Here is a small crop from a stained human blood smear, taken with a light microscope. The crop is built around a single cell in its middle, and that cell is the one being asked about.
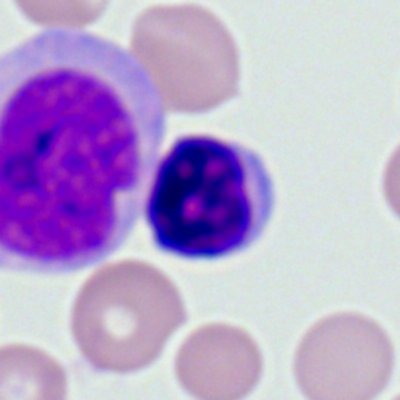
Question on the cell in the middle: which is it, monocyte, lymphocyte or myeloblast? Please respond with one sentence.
Framed in the middle of the crop is a lymphocyte.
